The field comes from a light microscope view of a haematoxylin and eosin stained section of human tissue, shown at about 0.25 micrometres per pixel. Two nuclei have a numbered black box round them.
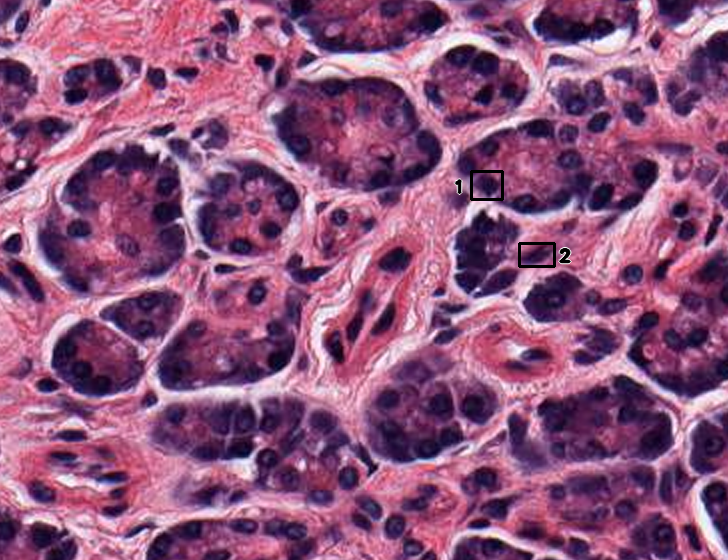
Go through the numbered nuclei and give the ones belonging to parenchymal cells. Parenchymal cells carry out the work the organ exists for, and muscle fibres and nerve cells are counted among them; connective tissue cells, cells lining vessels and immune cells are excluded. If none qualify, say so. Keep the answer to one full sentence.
Exclusively nucleus 1 is the nucleus of a parenchymal cell here.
